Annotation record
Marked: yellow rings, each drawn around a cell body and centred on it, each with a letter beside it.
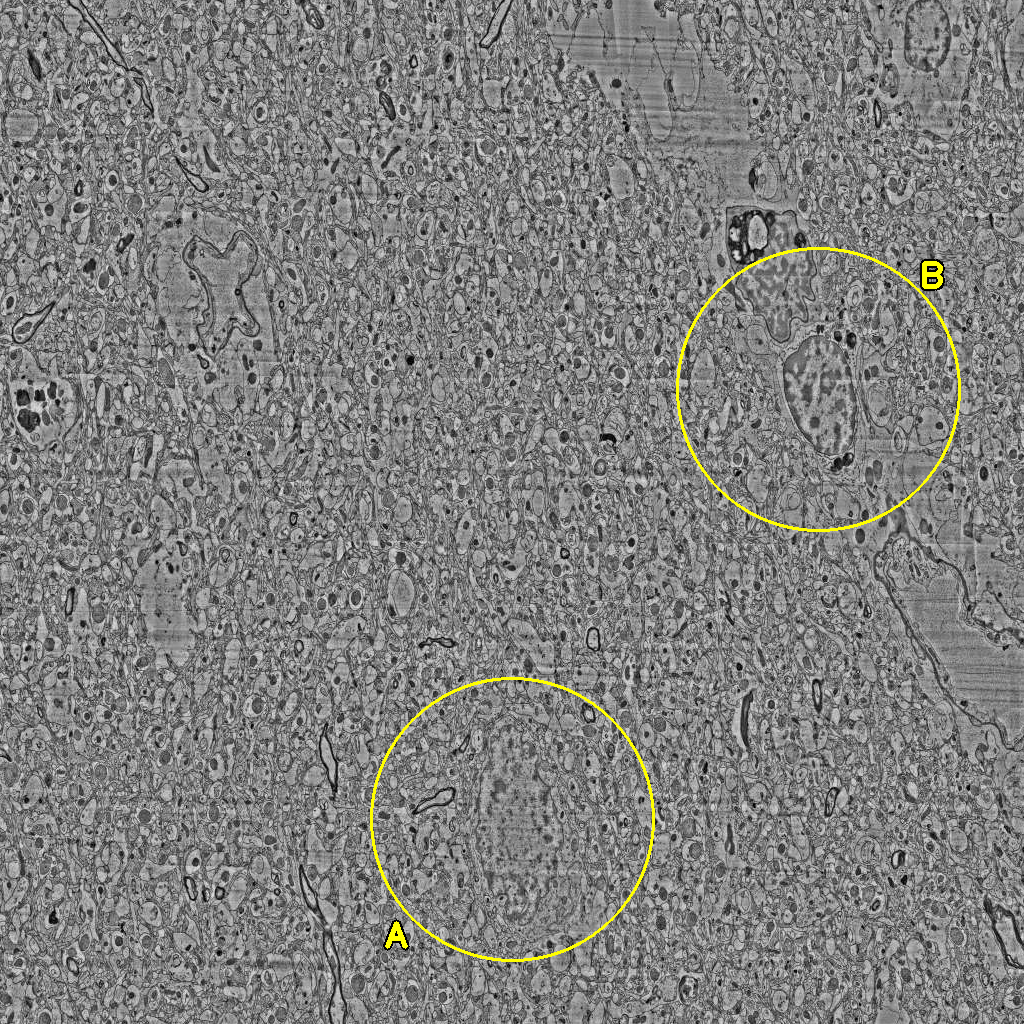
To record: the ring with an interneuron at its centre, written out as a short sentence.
The ring centred on it is ring A.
